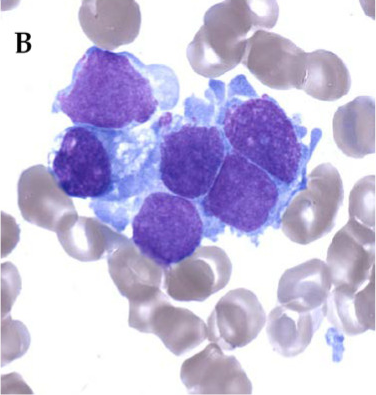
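A tight group of about six large cells sits among scattered red blood cells. The cells have large round purple nuclei with fine chromatin and fill most of each cell; their cells press against one another. Between and around them lies pale blue, irregular, frayed cytoplasm with small projections, so that the group looks like one coherent clump rather than separate cells. This clustering of blasts gives the smear the look of a small piece of solid tumor.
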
